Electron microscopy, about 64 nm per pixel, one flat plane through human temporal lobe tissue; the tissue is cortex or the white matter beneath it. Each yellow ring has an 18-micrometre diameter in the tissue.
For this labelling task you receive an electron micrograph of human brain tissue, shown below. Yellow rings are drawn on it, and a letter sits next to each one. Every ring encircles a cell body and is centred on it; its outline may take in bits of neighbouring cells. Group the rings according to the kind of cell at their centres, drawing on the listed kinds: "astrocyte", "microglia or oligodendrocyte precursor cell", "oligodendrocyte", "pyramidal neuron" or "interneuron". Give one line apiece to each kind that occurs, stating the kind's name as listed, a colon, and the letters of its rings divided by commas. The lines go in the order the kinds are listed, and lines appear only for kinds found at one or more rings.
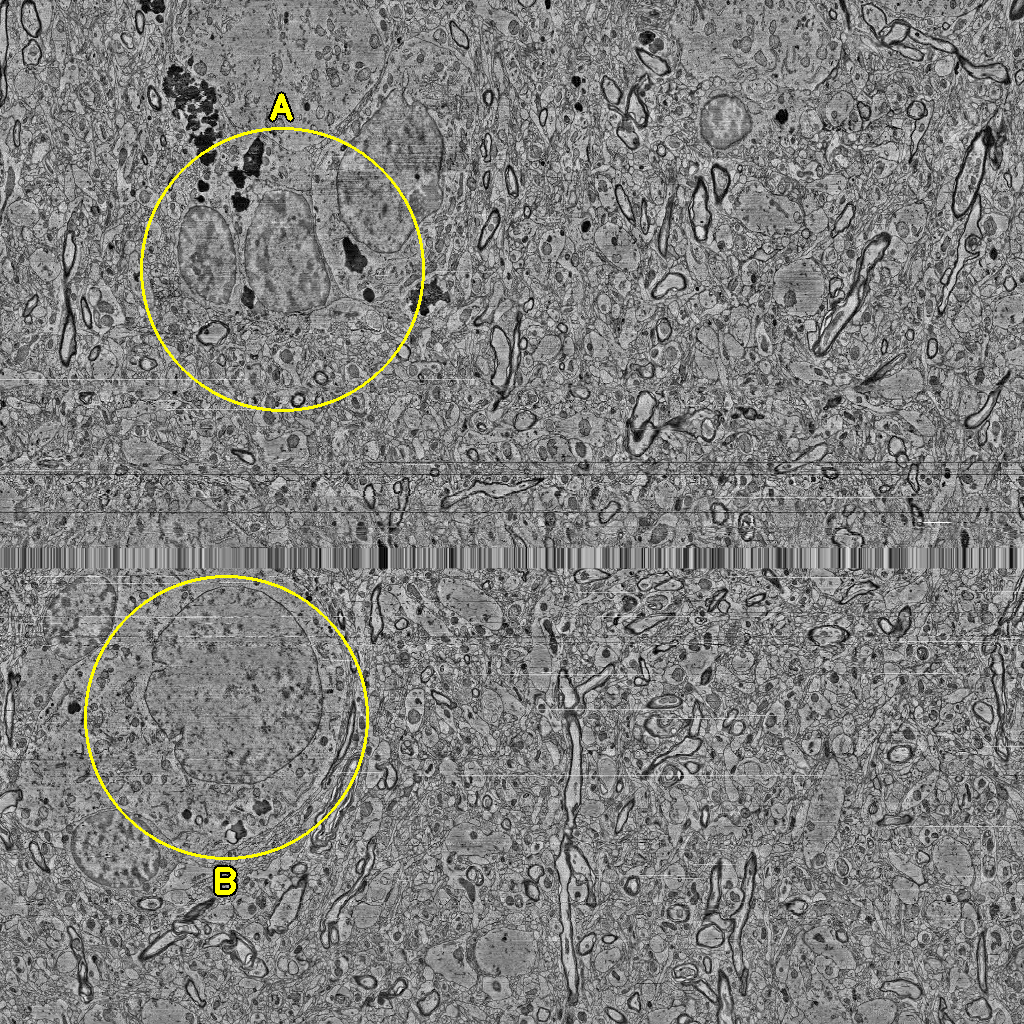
oligodendrocyte: A
pyramidal neuron: B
